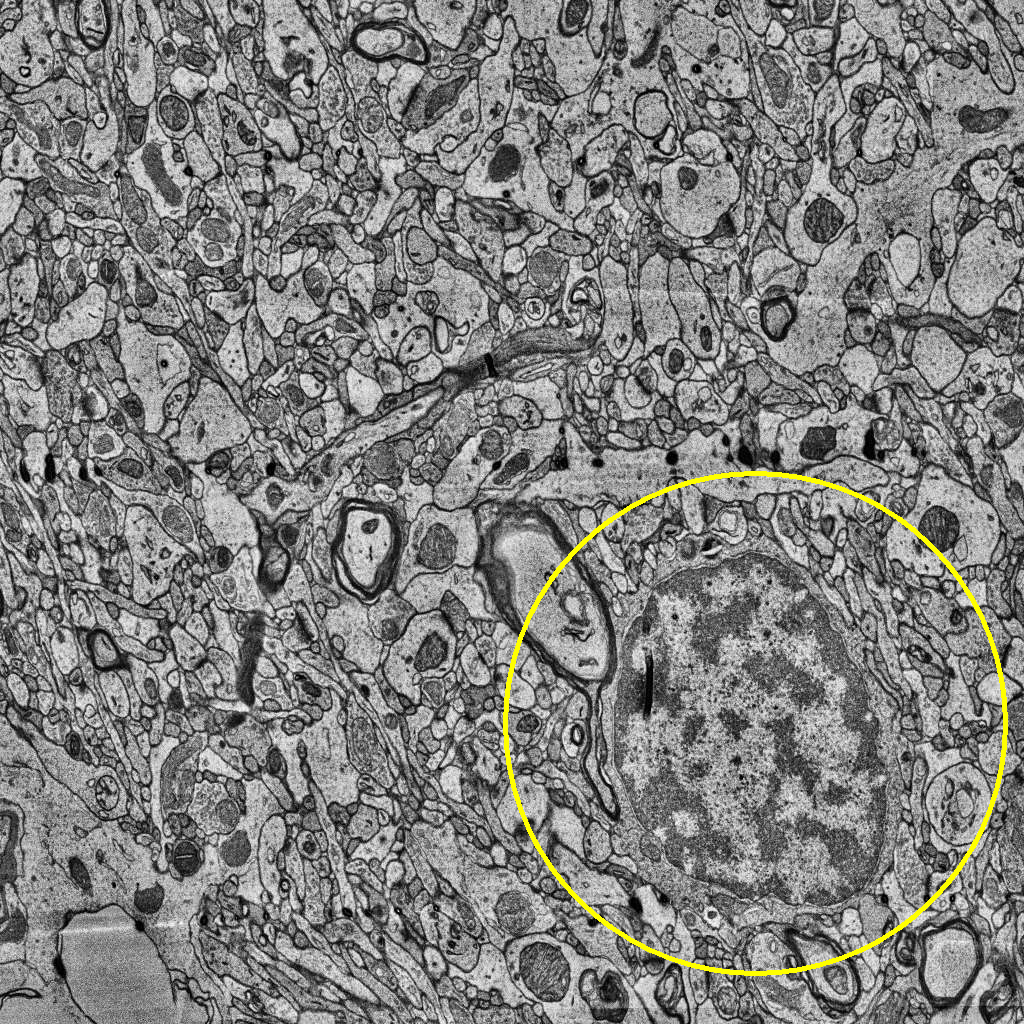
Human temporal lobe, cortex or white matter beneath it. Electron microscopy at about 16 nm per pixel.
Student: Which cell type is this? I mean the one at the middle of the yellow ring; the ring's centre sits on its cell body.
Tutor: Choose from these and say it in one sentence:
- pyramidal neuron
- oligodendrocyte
The cell at the ring's centre is an oligodendrocyte.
